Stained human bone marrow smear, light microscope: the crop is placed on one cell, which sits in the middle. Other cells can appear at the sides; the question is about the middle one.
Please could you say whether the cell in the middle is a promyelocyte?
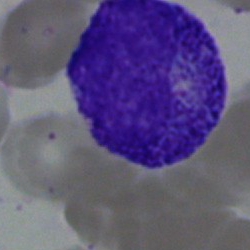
no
